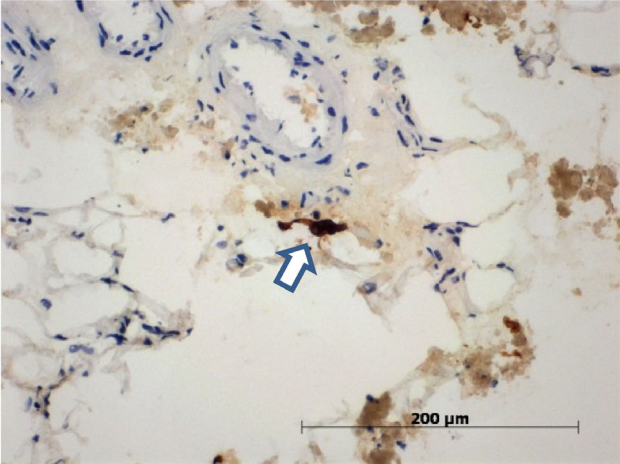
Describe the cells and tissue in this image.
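Loose tissue with many open, thin-walled spaces fills the field; nuclei are small, blue and mostly elongated, scattered along fine walls. At the upper left a small vessel with a thicker, layered wall is cut across. In the middle, within one of the open spaces, sits a small irregular cluster stained intensely dark brown, standing out from faint pale-brown material seen elsewhere.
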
